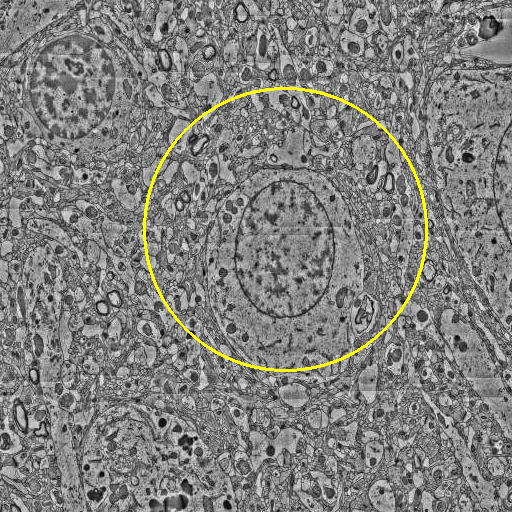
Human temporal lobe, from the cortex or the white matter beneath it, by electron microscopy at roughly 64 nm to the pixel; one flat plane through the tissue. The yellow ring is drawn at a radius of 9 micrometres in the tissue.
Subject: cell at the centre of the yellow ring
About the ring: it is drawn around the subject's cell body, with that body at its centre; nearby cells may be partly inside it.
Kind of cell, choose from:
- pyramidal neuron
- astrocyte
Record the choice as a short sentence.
The subject cell is a pyramidal neuron.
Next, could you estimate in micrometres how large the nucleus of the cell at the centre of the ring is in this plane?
In this plane, roughly 9 by 6 micrometres.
